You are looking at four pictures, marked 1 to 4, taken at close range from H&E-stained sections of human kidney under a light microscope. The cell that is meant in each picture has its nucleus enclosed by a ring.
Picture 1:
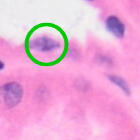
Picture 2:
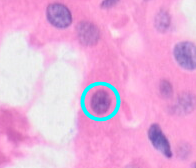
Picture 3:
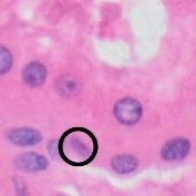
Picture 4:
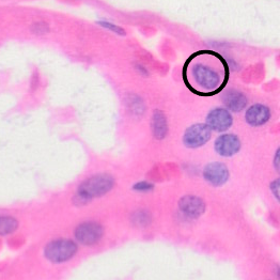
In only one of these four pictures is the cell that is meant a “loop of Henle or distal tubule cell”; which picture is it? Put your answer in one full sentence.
Picture 1 is the one that shows the “loop of Henle or distal tubule cell”.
